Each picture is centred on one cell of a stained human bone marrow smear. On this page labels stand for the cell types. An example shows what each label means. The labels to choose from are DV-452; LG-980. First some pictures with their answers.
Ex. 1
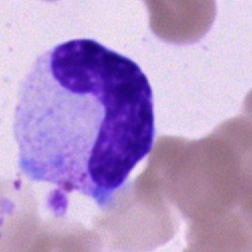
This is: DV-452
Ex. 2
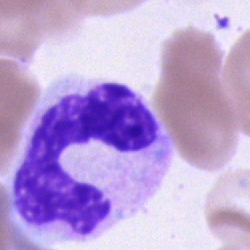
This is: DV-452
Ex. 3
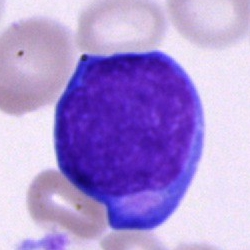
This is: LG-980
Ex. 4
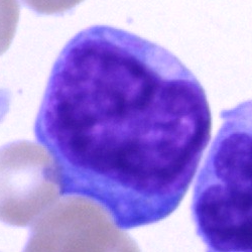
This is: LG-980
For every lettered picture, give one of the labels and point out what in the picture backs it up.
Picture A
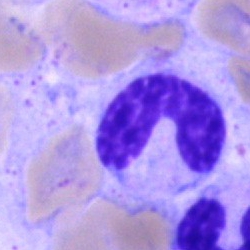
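DV-452: The chromatin is dark purple and coarsely clumped.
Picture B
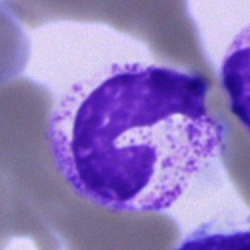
DV-452: Fine purple granules are scattered through the cytoplasm.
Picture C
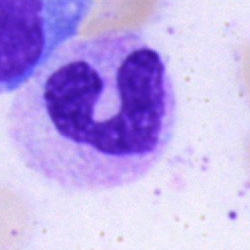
DV-452: Plentiful pale lilac-pink cytoplasm surrounds the nucleus.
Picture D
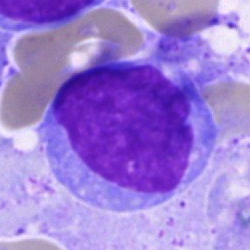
LG-980: The nucleus fills most of the cell and lies toward its upper side.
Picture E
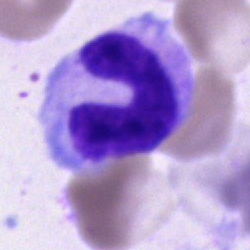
DV-452: The nucleus is a thick curved band bent into a horseshoe shape.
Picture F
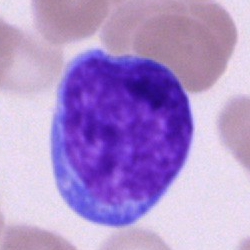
LG-980: The cytoplasm is a scant, deep blue rim.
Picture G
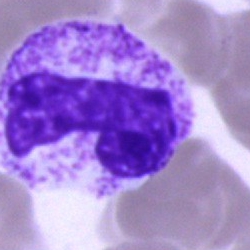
DV-452: Plentiful pale lilac cytoplasm surrounds the nucleus.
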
